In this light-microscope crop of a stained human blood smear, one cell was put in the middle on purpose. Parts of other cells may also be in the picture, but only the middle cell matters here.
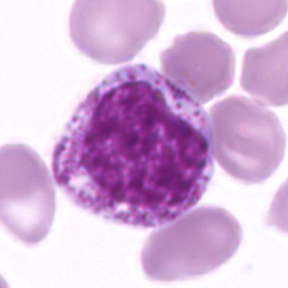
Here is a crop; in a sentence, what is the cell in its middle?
In the crop, the cell of interest at the centre is a metamyelocyte.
